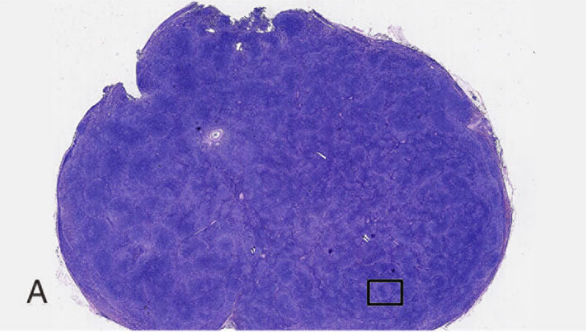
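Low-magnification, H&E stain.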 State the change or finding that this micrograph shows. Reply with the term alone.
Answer: Lymph node architecture completely effaced by nodules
